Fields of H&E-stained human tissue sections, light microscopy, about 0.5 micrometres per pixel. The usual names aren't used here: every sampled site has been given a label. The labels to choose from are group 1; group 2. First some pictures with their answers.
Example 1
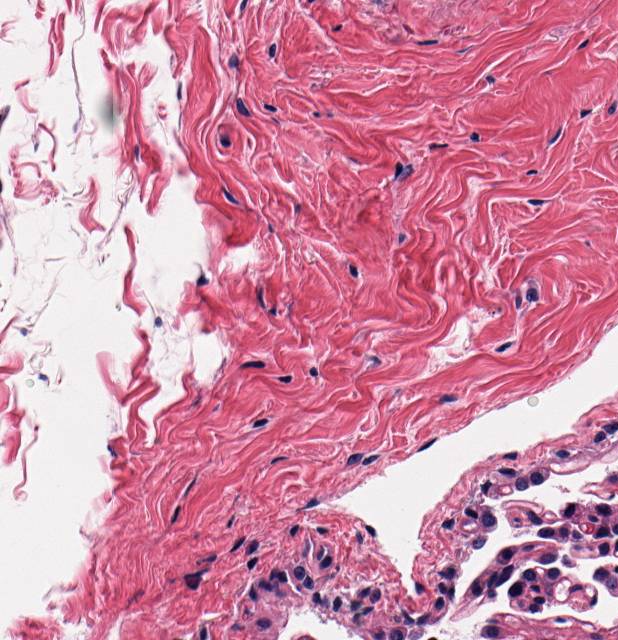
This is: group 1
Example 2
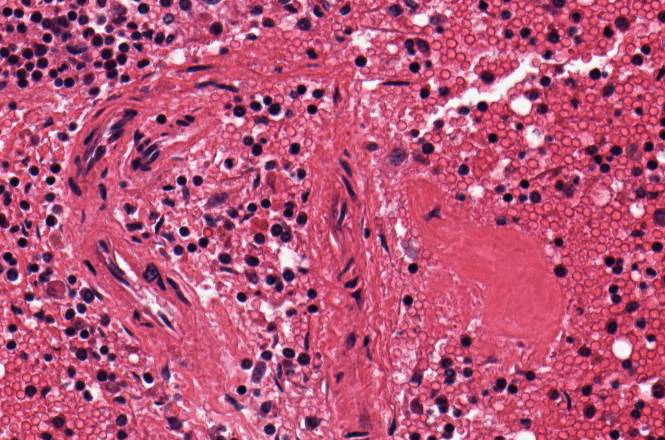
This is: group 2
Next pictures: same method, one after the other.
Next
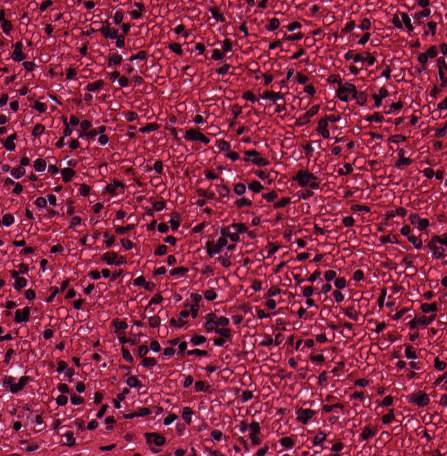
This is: group 2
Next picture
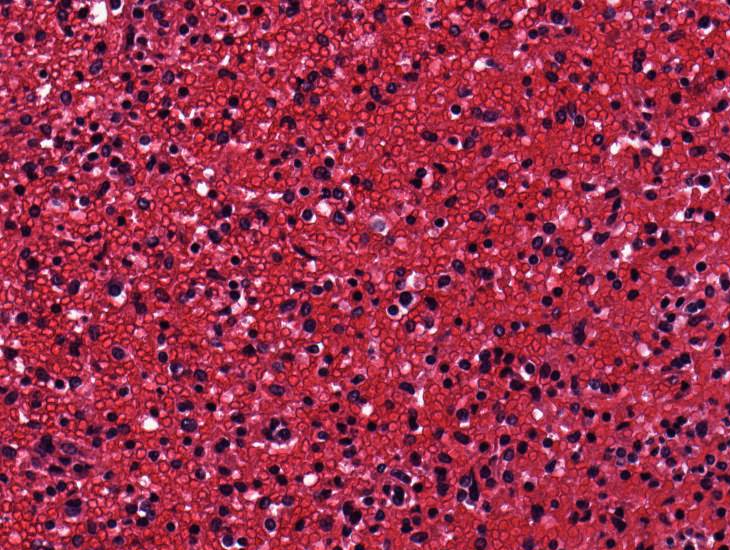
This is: group 2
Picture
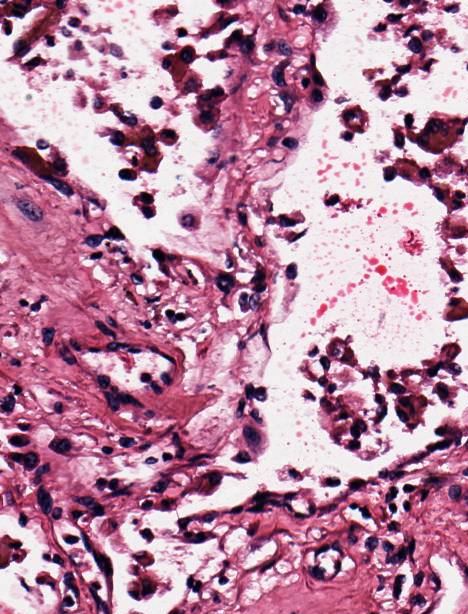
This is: group 1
